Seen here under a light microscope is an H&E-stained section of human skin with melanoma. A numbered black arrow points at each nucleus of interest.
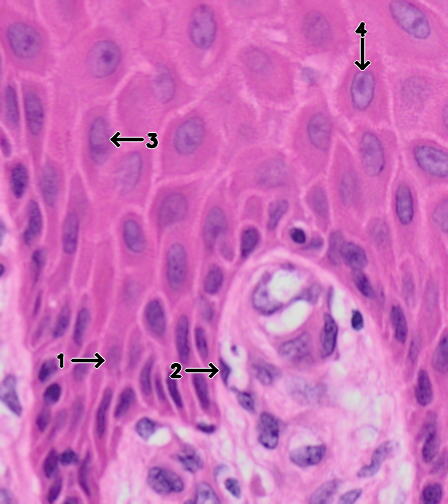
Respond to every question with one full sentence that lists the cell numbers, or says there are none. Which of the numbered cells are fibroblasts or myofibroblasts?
Only one choice fits: cell 2 is a fibroblast or myofibroblast, and no other.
